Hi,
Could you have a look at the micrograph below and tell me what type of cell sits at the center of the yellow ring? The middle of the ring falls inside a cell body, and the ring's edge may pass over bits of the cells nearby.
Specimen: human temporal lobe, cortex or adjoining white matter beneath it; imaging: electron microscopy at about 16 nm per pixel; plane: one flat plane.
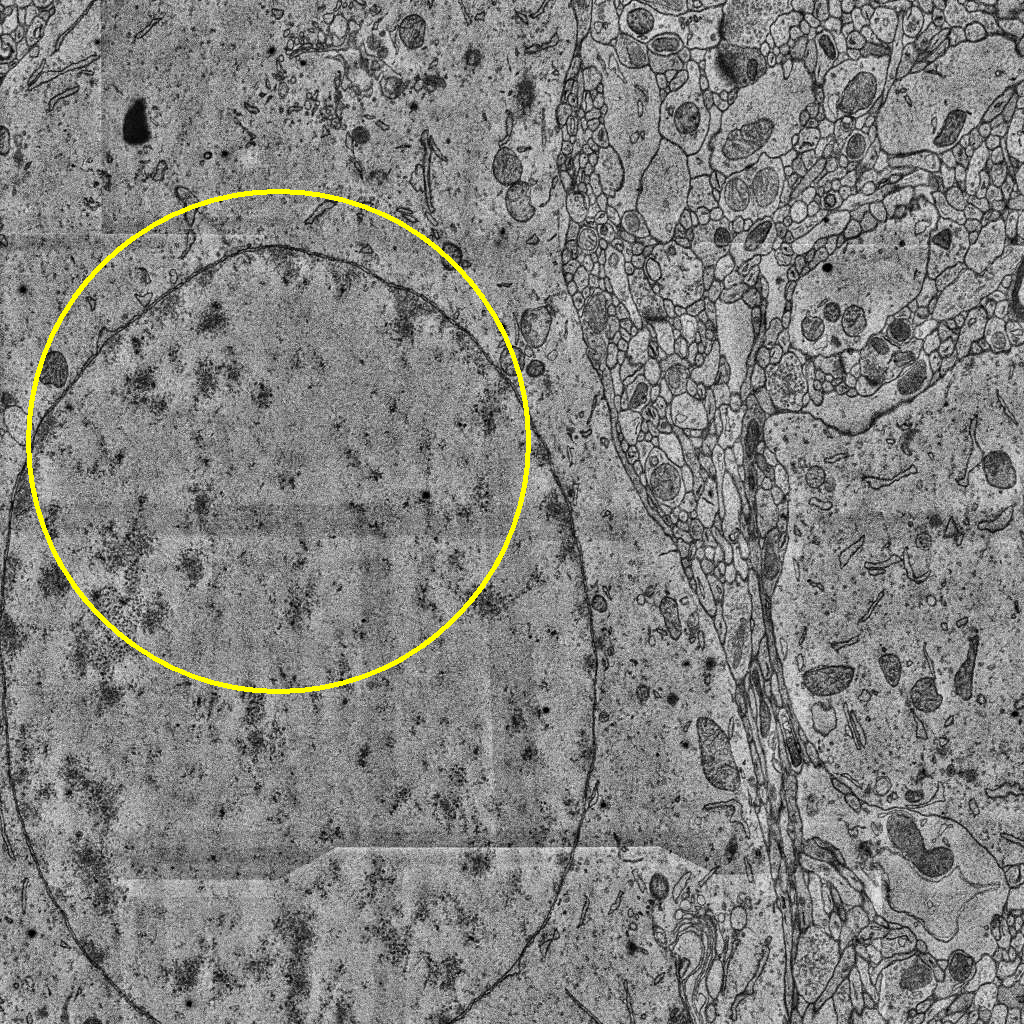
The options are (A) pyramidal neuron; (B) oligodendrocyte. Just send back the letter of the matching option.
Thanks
A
